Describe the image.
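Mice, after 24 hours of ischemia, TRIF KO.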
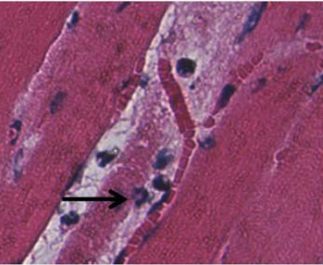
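Inflammatory cells with small dark nuclei gather in a widened, pale interstitial space between pink-red fibers. A vessel with a row of red blood cells runs through this loose, cleared tissue, and the cells with dark, irregular nuclei lie beside it.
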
